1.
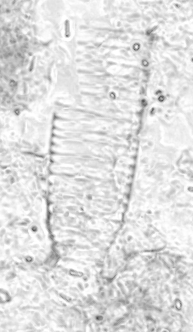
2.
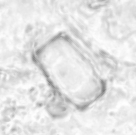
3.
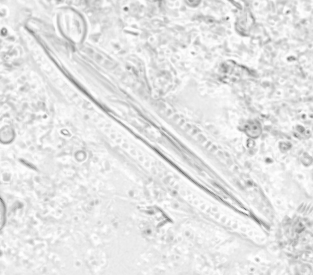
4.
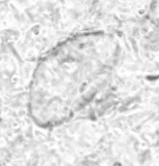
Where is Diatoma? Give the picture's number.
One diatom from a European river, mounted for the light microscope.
1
